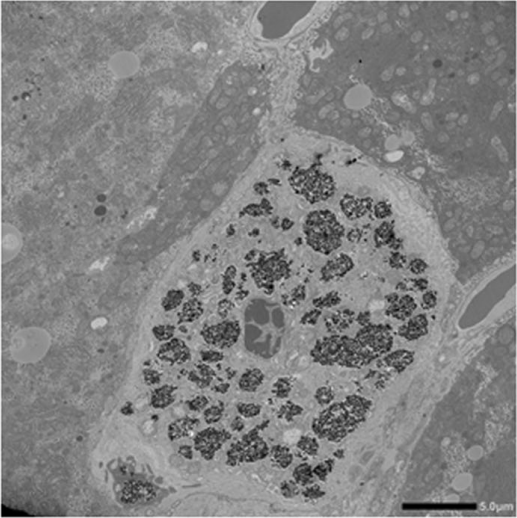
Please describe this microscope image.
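In the centre lies a rounded phagocyte wedged between larger liver cells. Its cytoplasm is crowded with many dense, dark, granular clumps of varying size, giving it a mottled appearance quite unlike the evenly grey neighbouring cells.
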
